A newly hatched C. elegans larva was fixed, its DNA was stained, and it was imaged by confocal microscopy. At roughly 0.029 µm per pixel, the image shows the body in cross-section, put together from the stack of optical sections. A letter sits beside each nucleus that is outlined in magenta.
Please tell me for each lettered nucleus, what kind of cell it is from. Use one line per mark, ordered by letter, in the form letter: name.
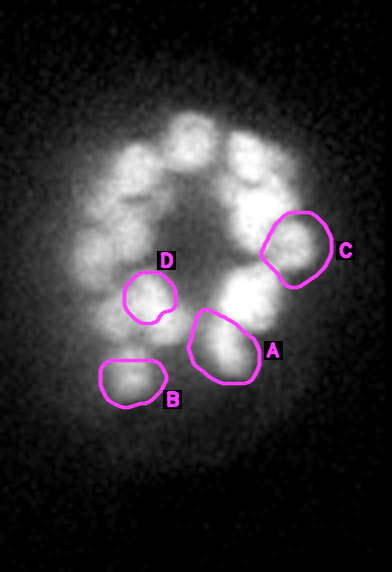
A: GLR cell
B: neuron
C: neuron
D: GLR cell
